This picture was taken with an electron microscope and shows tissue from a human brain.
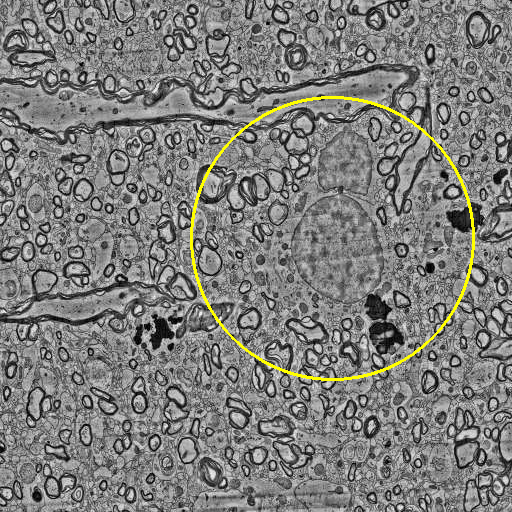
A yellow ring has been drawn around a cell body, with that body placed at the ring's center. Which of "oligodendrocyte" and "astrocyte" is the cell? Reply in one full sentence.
In this picture, an oligodendrocyte is the cell at the center of the yellow ring.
